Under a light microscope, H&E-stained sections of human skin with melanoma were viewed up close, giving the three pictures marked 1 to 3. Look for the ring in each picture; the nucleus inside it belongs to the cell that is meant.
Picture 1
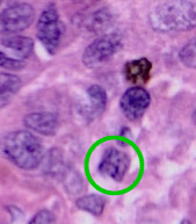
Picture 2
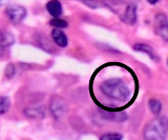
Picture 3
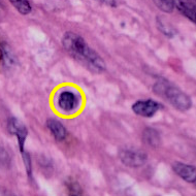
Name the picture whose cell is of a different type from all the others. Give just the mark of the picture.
3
